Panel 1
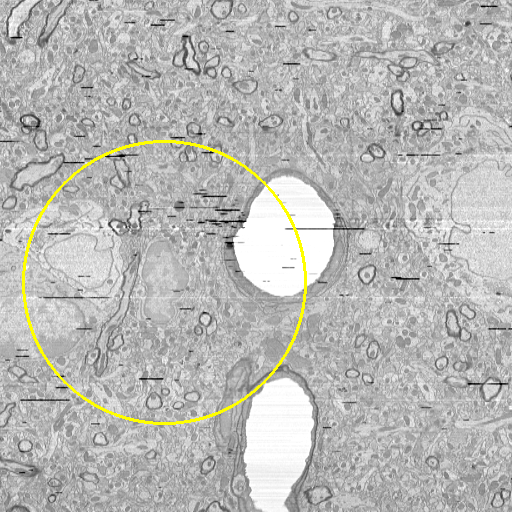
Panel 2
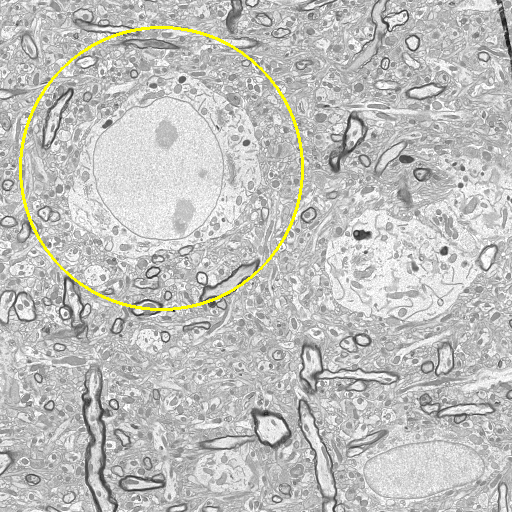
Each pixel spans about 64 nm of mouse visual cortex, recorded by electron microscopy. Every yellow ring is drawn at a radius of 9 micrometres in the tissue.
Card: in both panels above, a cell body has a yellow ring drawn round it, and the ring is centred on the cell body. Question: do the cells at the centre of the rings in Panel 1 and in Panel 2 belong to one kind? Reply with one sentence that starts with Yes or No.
No, the cells centred in the rings of Panel 1 and Panel 2 are two kinds of cell.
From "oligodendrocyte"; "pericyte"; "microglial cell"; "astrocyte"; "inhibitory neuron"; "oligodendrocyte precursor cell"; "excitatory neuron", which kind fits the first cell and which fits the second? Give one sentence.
The cell marked in the first picture is a microglial cell, and the one marked in the second is an excitatory neuron.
